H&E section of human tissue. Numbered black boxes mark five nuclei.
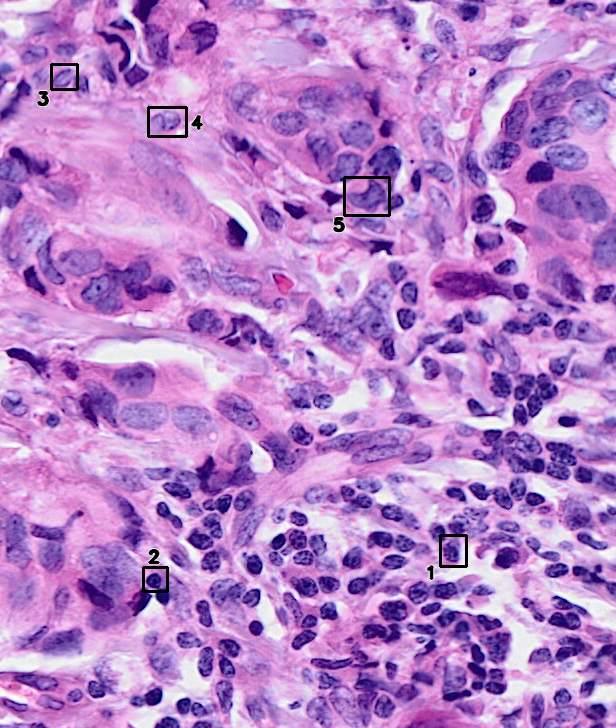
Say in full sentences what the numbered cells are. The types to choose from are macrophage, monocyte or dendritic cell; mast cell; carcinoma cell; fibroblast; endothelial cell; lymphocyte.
Cells 1 and 2 are lymphocytes. Cell 3 is an endothelial cell. Cell 4 is a macrophage, monocyte or dendritic cell. Cell 5 is a carcinoma cell.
